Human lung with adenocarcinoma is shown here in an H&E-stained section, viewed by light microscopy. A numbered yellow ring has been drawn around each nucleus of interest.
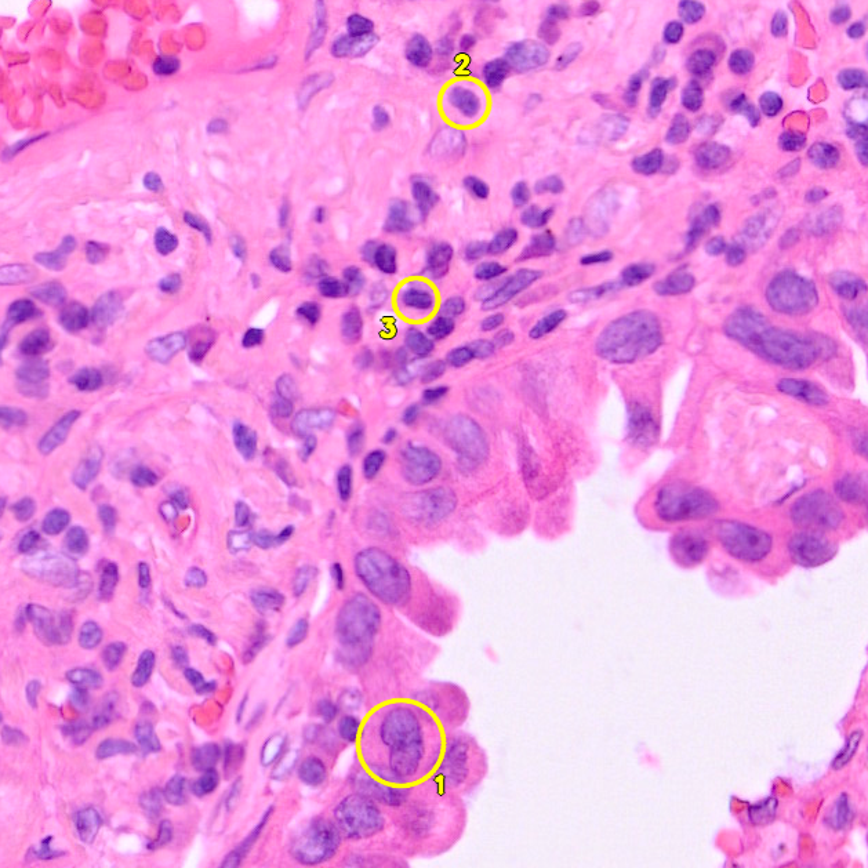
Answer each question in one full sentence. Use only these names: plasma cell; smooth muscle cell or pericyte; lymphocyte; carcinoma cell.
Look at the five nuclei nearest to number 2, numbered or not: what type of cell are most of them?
The majority of the five nuclei closest to number 2 belong to plasma cells.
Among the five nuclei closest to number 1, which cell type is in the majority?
Carcinoma cells make up most of the five nuclei closest to number 1.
